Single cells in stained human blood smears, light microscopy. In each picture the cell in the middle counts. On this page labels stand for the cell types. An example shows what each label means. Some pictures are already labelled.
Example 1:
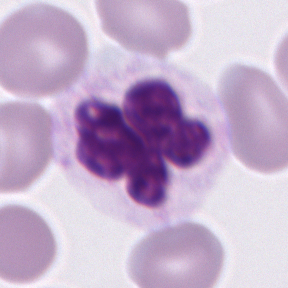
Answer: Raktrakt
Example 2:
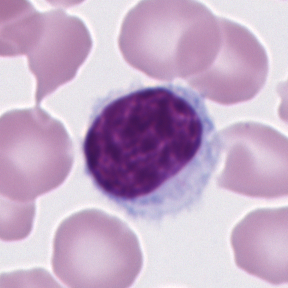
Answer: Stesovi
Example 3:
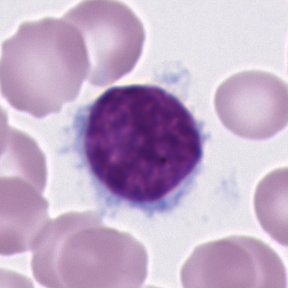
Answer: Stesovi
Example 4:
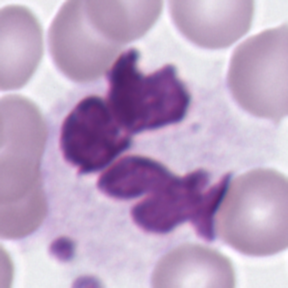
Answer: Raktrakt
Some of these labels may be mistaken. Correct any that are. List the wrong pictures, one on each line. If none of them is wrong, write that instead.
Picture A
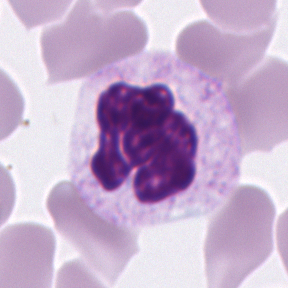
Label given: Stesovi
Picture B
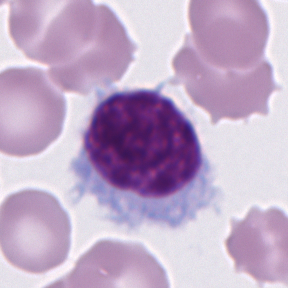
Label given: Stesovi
A is labelled Stesovi; correct label: Raktrakt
